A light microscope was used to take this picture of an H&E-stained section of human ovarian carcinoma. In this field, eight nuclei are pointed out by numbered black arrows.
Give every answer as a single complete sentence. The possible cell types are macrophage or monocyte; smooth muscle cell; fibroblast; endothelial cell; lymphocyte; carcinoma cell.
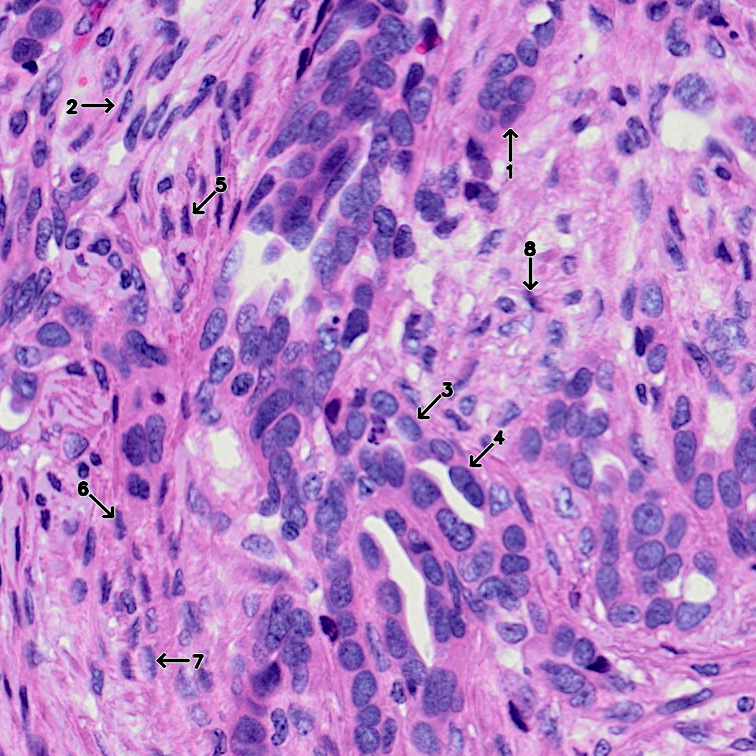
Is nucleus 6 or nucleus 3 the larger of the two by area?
Number 3 is larger; its area is about 2 times that of number 6.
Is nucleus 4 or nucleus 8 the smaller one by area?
Number 8 is smaller, since number 4 takes up about 2 times as much area.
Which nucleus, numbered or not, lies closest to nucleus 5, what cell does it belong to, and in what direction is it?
Just to the left of nucleus 5 lies the nearest nucleus, which belongs to a fibroblast.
